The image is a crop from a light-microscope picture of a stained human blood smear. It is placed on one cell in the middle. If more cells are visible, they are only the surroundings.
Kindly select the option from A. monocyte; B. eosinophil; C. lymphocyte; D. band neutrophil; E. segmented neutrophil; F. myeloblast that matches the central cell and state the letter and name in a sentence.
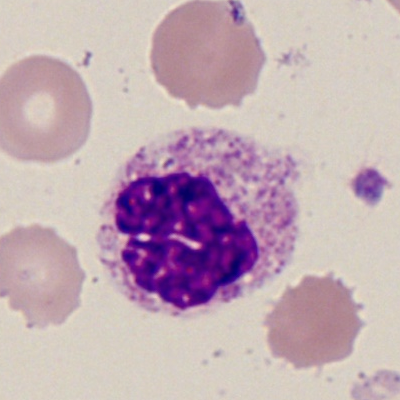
Seen at the centre of the crop is a band neutrophil, so option D is correct.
